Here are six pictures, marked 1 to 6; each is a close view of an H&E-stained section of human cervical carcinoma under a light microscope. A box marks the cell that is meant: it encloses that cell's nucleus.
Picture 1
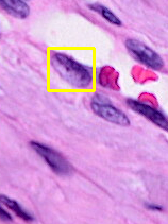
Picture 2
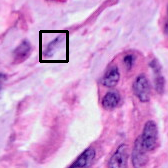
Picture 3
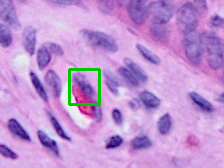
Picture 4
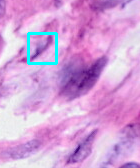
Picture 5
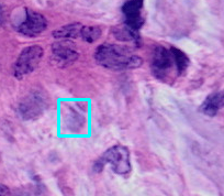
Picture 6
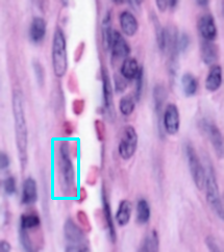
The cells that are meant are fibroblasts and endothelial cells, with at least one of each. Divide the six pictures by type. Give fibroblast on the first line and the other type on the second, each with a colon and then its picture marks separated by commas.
fibroblast: 2, 4, 5
endothelial cell: 1, 3, 6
